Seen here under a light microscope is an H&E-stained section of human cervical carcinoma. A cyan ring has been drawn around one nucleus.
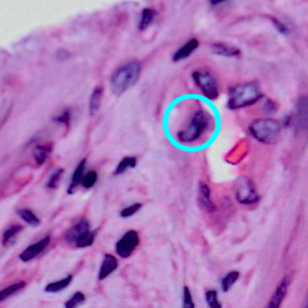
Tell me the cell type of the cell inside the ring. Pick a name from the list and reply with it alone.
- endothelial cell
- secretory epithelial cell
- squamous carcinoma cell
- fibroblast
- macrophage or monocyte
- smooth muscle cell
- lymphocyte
endothelial cell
